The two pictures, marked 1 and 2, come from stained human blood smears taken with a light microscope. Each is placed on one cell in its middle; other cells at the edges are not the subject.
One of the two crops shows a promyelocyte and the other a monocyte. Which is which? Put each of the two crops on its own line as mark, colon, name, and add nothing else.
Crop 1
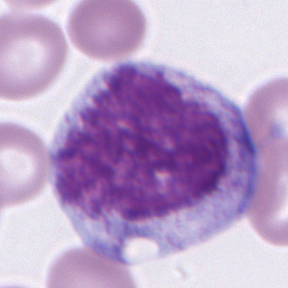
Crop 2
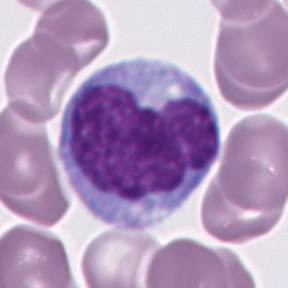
1: promyelocyte
2: monocyte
